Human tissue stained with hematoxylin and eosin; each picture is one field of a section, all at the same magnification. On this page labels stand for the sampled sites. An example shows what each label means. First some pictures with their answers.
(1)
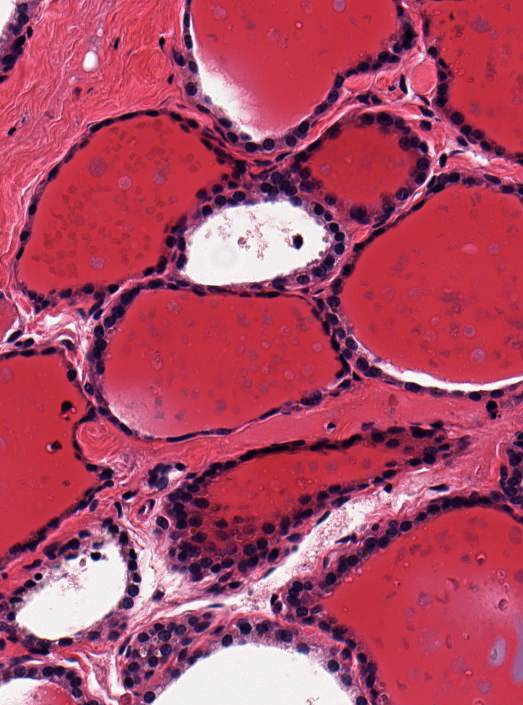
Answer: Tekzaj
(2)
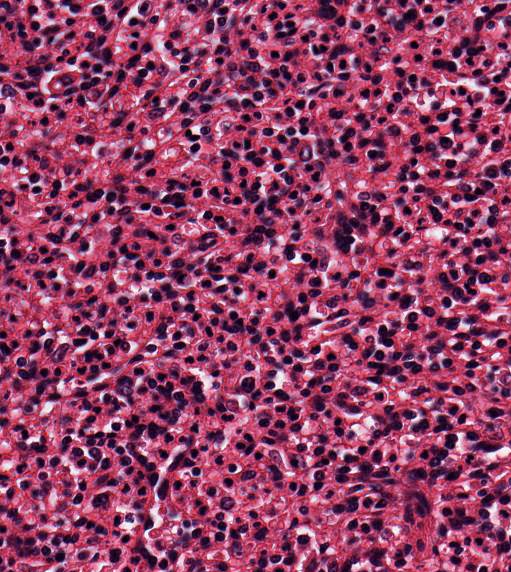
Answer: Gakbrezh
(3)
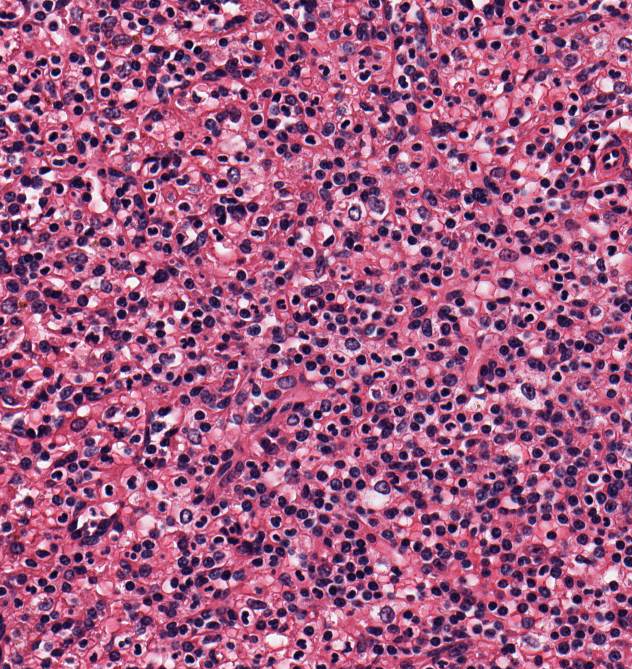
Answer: Gakbrezh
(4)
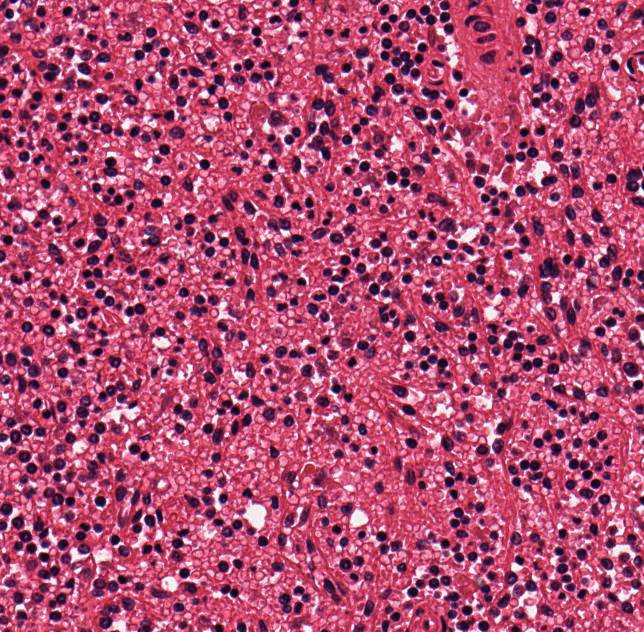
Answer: Gakbrezh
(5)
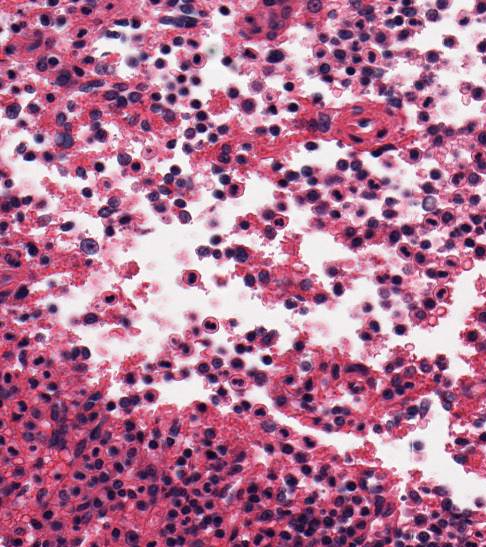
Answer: Gakbrezh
